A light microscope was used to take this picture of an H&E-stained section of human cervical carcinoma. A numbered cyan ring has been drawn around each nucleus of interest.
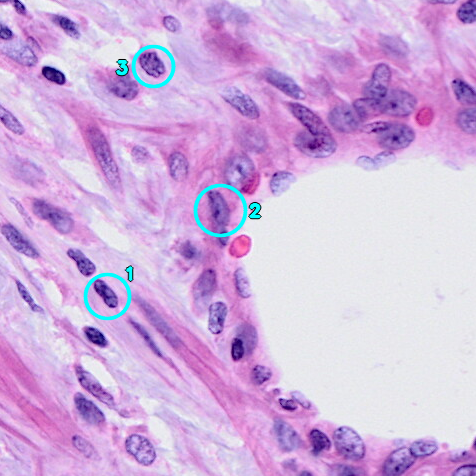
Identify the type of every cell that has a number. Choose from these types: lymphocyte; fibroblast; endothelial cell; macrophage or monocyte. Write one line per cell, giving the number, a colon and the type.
1: lymphocyte
2: endothelial cell
3: macrophage or monocyte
